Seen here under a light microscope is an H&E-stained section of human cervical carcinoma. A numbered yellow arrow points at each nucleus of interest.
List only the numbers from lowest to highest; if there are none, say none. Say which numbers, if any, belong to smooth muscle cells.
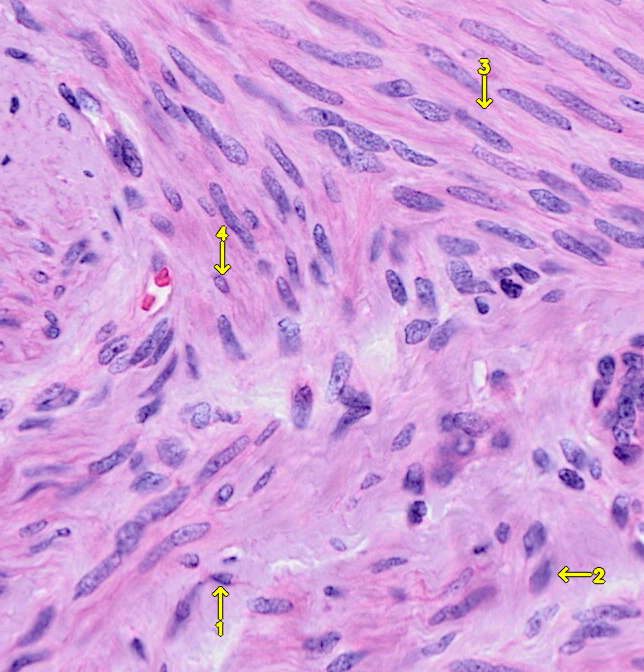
1, 3, 4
